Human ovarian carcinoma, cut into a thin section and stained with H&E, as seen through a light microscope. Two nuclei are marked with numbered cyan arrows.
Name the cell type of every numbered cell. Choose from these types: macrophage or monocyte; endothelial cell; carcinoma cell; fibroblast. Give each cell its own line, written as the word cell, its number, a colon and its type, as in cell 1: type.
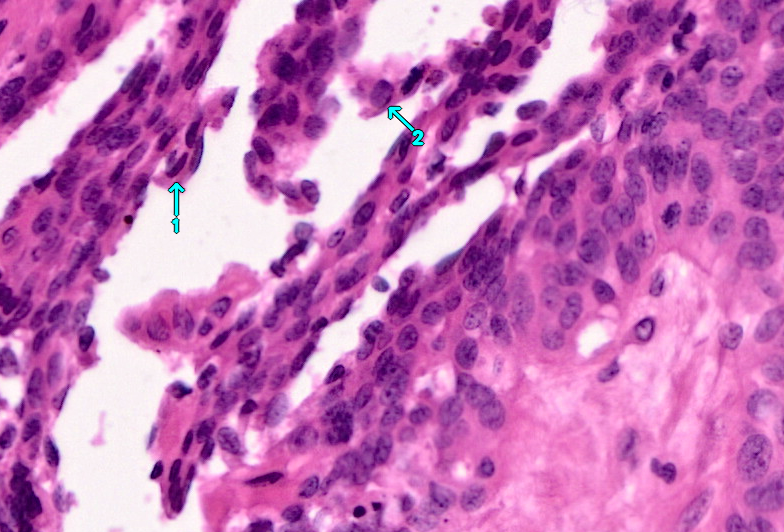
cell 1: macrophage or monocyte
cell 2: carcinoma cell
